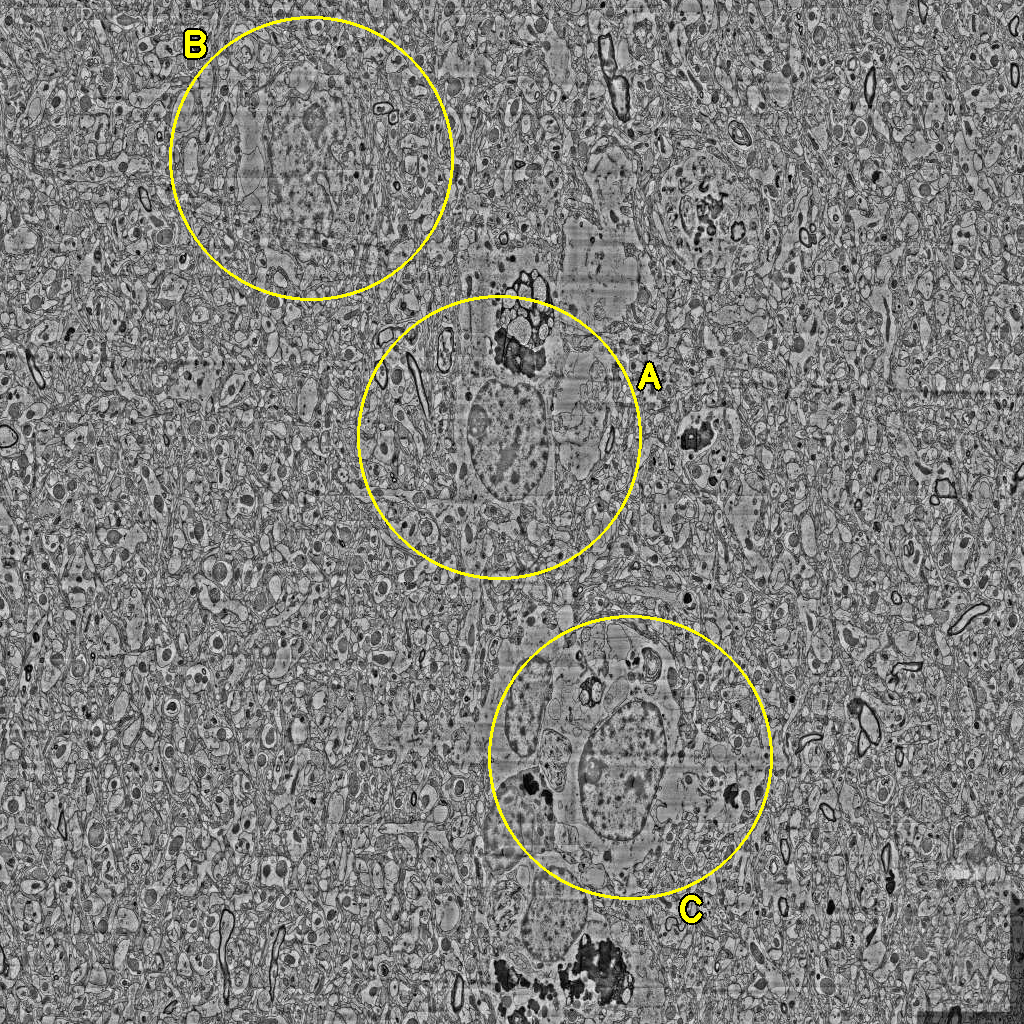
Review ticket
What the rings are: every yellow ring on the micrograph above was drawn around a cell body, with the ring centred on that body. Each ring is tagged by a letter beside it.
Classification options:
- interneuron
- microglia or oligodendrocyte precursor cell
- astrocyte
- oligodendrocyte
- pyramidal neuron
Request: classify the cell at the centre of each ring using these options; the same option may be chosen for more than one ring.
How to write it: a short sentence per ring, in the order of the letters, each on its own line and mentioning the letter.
The cell centred in ring A is an astrocyte.
The cell centred in ring B is an interneuron.
The cell centred in ring C is an astrocyte.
